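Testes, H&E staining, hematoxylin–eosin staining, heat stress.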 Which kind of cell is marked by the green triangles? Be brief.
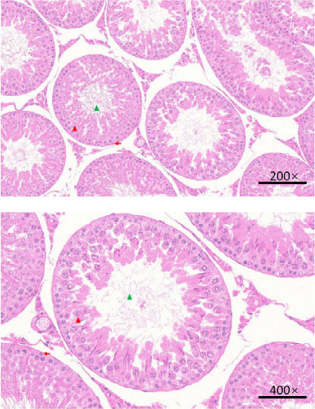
Sperm.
